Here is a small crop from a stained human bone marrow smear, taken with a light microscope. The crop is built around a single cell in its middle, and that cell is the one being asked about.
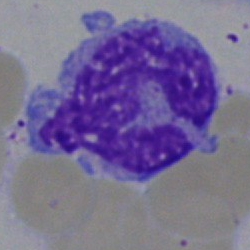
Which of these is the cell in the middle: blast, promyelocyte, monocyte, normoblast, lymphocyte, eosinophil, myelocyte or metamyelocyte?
monocyte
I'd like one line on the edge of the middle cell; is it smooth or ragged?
The border of the cell is irregular, being either ragged or extended into projections.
